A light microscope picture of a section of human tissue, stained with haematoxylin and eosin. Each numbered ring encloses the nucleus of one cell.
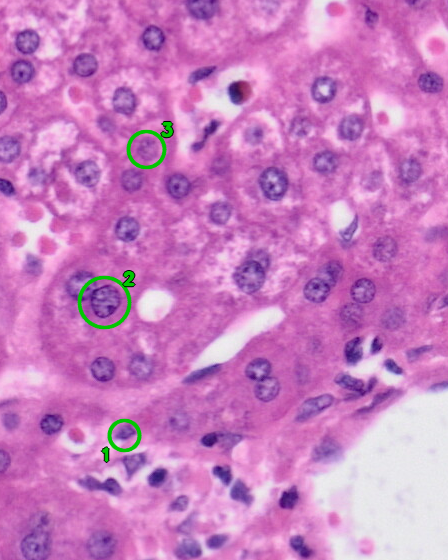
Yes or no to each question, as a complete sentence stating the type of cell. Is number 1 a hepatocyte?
No, number 1 is not a hepatocyte; it is a fibroblast or stellate cell.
